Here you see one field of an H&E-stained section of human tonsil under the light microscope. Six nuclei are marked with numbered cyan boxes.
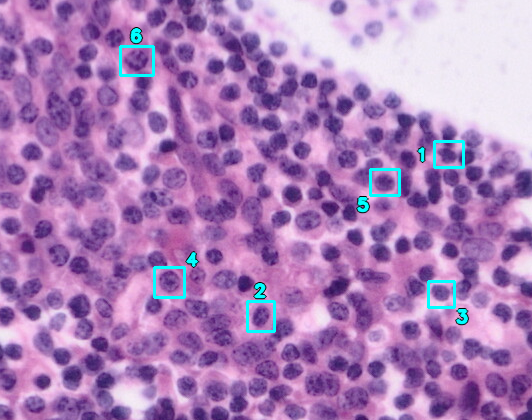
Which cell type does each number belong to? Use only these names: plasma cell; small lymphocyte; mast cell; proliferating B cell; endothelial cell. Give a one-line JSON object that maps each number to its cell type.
{"1": "small lymphocyte", "2": "plasma cell", "3": "small lymphocyte", "4": "plasma cell", "5": "small lymphocyte", "6": "plasma cell"}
